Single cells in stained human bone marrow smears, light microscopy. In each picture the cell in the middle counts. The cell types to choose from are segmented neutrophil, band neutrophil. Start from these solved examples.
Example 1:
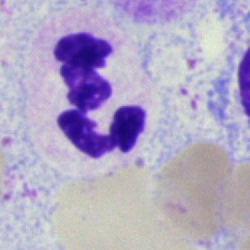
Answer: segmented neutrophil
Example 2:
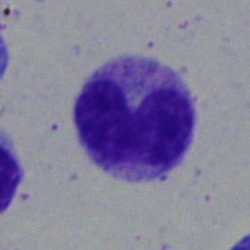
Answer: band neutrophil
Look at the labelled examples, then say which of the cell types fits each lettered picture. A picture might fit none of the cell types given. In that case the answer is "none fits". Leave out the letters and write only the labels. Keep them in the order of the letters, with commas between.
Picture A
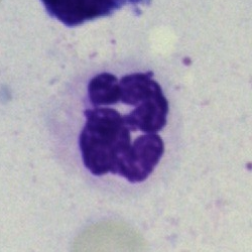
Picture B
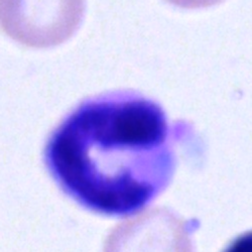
segmented neutrophil, band neutrophil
